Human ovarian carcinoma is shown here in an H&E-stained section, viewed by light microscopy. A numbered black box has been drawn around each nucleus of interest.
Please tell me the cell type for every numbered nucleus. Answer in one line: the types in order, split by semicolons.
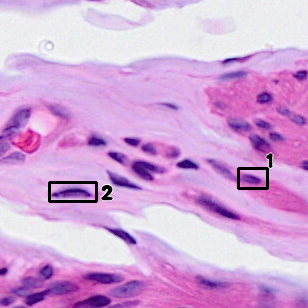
smooth muscle cell; fibroblast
